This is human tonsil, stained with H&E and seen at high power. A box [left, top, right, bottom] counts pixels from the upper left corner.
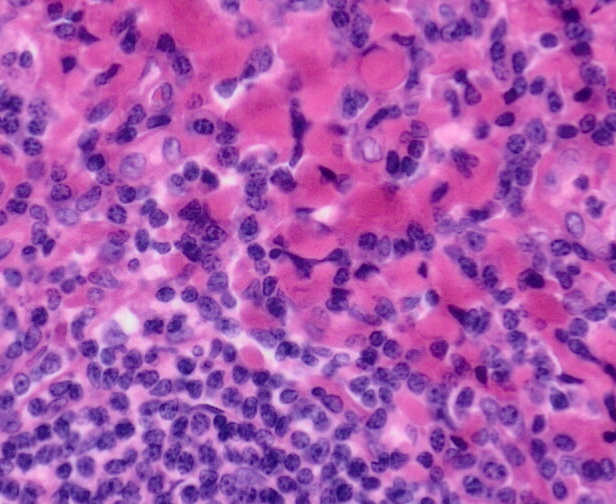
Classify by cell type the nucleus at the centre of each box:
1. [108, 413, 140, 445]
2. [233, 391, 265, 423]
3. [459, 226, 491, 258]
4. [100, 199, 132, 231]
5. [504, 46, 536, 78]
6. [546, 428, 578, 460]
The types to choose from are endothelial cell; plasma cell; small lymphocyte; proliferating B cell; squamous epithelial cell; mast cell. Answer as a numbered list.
1. small lymphocyte
2. small lymphocyte
3. plasma cell
4. plasma cell
5. plasma cell
6. plasma cell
